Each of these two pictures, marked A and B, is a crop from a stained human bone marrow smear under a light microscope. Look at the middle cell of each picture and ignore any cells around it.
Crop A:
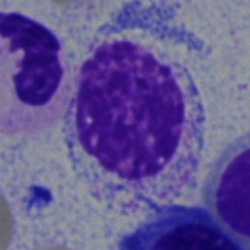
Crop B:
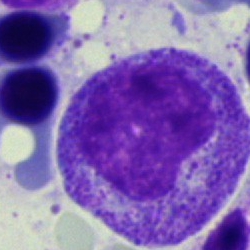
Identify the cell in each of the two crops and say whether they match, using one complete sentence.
Yes, the same answer goes for both crops, namely myelocytes.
